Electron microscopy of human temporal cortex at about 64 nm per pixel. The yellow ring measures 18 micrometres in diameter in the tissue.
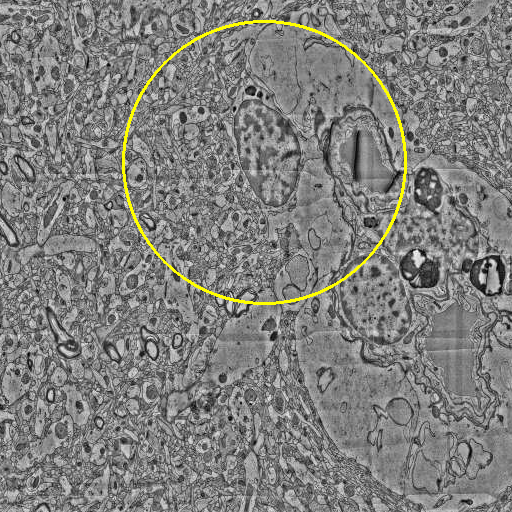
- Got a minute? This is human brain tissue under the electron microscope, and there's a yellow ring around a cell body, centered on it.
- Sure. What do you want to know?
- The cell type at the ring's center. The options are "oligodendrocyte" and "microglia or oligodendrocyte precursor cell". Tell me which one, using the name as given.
microglia or oligodendrocyte precursor cell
